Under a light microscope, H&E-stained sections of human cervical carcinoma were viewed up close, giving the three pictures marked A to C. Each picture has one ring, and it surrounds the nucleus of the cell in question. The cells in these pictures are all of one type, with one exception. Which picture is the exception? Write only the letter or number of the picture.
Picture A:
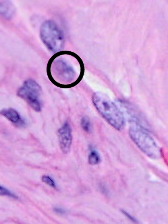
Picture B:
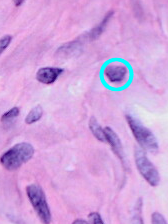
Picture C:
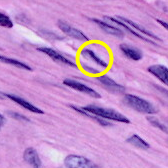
A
